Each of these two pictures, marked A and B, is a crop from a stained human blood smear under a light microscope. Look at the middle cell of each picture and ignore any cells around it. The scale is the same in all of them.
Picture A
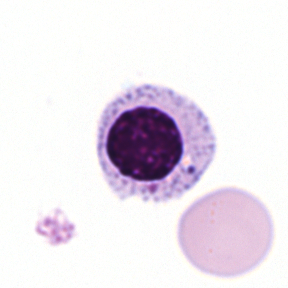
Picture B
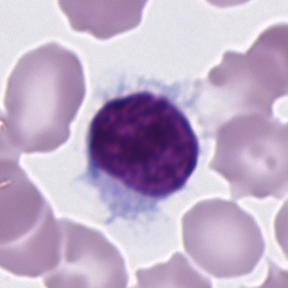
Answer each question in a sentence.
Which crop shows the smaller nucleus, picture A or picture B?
Picture A shows the smaller nucleus, since that in picture B covers about 2 times as much area.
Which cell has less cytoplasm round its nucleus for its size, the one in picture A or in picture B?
Of the two, the nucleus in picture B makes up the greater part of its cell.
